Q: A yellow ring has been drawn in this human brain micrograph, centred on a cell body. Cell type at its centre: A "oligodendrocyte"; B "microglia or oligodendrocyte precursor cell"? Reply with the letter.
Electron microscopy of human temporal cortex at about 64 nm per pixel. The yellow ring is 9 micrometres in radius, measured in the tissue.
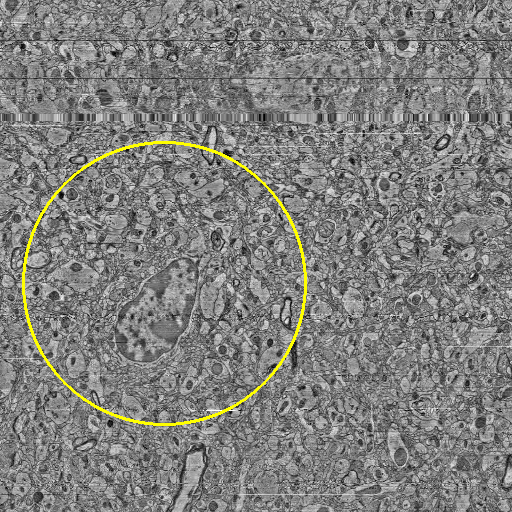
B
